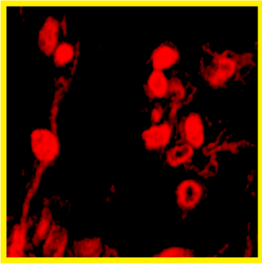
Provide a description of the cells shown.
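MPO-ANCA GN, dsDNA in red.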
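At high magnification, red-stained nuclei of kidney cells lie scattered on a dark background. Most are round to oval with smooth outlines, and several show a brighter rim with a paler centre, giving a ring-like look. Unlike tidy separate nuclei, red material also lies outside them: thin streaks and strands run from the edge of the field and between nuclei, and some nuclei have ragged, frayed margins from which red threads extend. These extracellular red deposits lie among the cells rather than inside them.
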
